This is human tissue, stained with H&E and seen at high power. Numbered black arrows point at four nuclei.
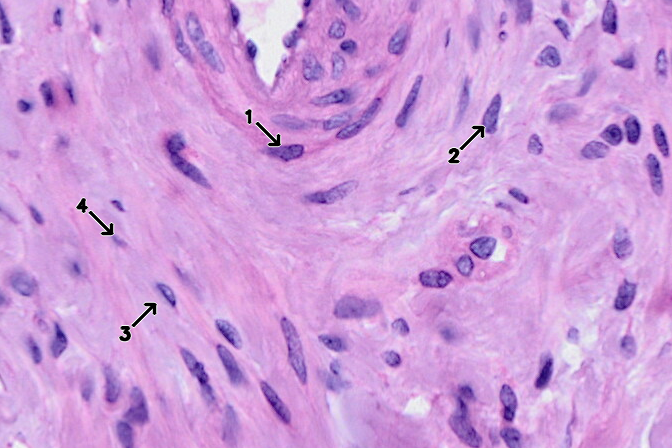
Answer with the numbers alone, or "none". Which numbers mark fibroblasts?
2, 3, 4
